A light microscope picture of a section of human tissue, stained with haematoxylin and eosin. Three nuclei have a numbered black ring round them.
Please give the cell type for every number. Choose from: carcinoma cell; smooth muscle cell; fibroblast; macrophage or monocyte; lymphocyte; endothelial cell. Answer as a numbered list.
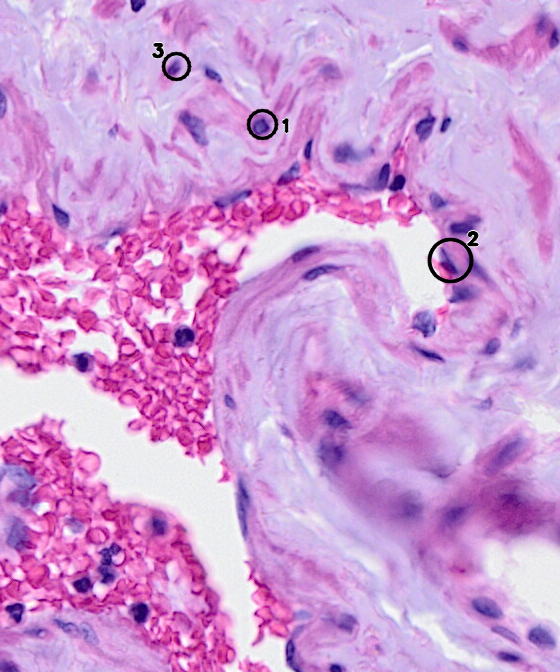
1. smooth muscle cell
2. endothelial cell
3. smooth muscle cell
